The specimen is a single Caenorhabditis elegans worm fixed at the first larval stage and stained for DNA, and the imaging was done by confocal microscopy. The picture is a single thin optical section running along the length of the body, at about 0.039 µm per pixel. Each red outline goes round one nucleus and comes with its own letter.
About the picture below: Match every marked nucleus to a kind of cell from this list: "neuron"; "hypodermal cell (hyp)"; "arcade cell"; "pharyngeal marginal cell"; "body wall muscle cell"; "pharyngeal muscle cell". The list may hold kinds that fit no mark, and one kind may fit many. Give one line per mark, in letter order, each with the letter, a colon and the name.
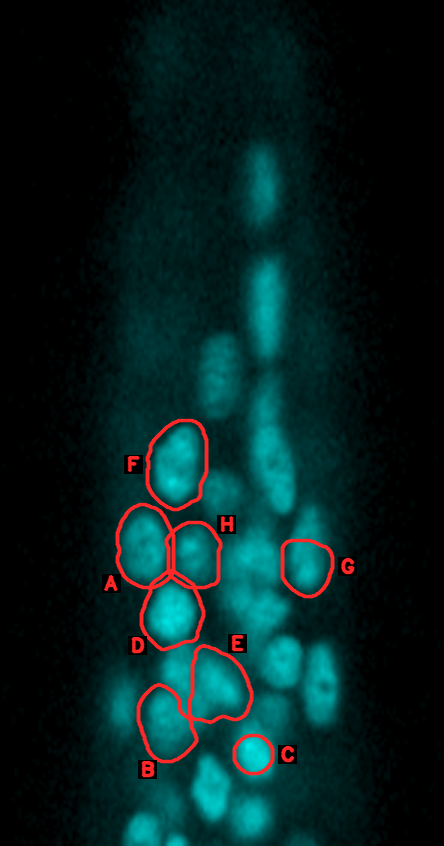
A: body wall muscle cell
B: hypodermal cell (hyp)
C: neuron
D: arcade cell
E: pharyngeal muscle cell
F: body wall muscle cell
G: body wall muscle cell
H: hypodermal cell (hyp)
